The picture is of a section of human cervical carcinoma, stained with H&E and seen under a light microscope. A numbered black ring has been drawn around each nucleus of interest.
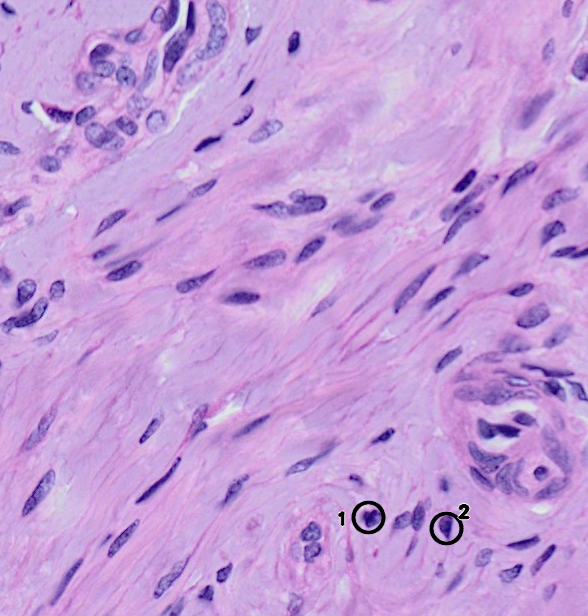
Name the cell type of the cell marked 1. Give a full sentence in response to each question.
Identified by the number 1, the cell is a lymphocyte.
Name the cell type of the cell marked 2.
Marked with the number 2, this cell is a fibroblast.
